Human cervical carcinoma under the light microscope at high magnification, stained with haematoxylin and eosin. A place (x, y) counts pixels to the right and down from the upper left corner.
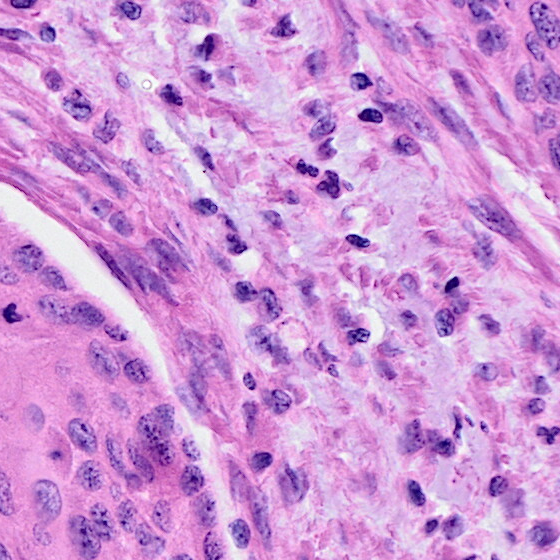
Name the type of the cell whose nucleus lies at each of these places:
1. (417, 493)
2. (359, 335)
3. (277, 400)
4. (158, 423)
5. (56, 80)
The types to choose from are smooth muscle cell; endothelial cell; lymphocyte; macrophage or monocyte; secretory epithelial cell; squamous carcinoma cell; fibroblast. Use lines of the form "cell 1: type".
cell 1: lymphocyte
cell 2: lymphocyte
cell 3: macrophage or monocyte
cell 4: squamous carcinoma cell
cell 5: macrophage or monocyte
